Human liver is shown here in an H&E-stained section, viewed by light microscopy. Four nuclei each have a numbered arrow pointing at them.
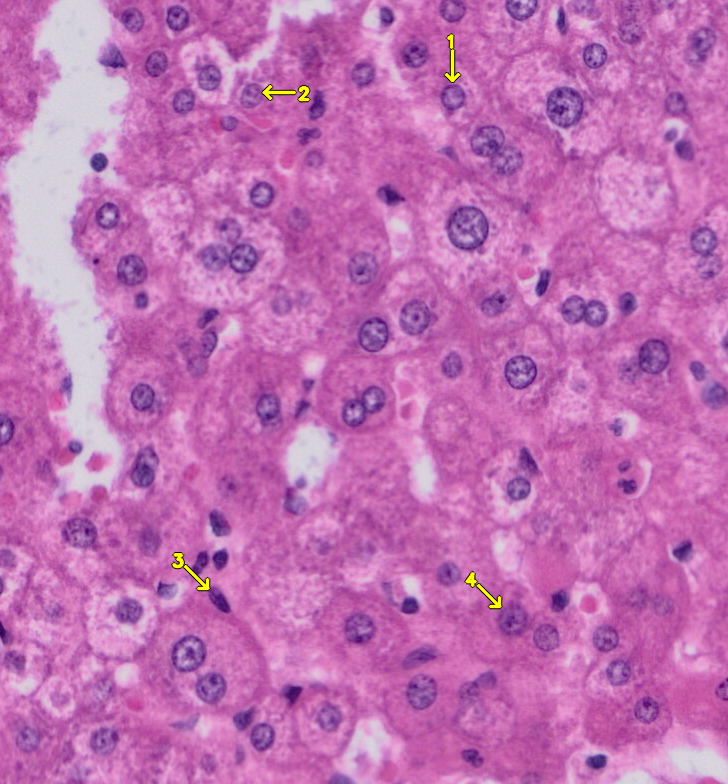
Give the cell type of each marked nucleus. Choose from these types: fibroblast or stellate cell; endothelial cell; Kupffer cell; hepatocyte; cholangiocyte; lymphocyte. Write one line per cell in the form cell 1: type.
cell 1: hepatocyte
cell 2: hepatocyte
cell 3: fibroblast or stellate cell
cell 4: hepatocyte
